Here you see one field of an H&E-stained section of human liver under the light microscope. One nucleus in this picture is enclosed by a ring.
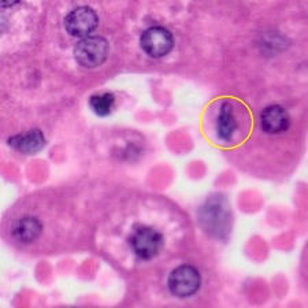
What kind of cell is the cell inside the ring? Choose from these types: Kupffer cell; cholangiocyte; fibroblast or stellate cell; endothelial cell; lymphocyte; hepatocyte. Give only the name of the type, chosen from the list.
fibroblast or stellate cell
